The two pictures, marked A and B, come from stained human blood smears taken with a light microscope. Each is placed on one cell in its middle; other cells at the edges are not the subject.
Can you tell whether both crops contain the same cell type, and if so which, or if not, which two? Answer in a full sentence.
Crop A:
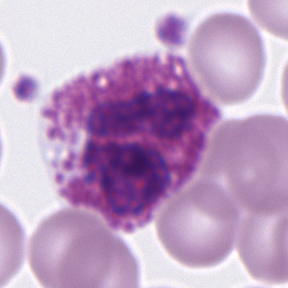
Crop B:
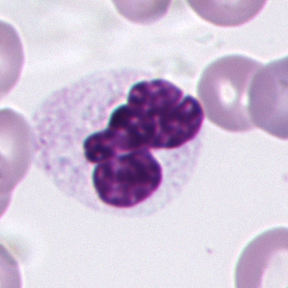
No, crop A features an eosinophil, and crop B features a segmented neutrophil.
